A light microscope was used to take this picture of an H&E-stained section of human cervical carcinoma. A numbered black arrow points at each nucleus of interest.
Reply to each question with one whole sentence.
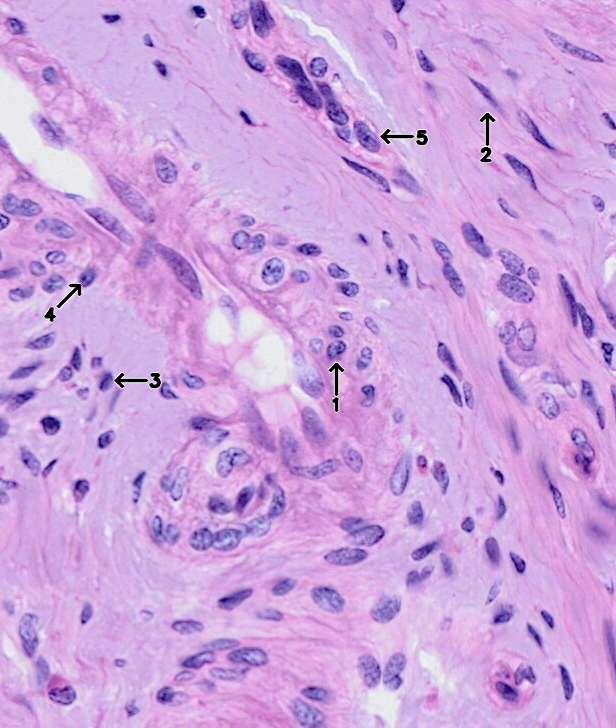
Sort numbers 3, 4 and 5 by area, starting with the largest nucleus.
Going from the biggest nucleus down to the smallest gives 5, 4, 3.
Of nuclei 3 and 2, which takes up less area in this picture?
The smaller nucleus is 3, and 2 covers roughly 1.5 times its area.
